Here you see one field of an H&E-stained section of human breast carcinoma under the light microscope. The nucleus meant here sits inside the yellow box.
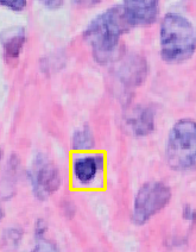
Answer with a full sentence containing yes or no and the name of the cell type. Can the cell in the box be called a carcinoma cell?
No, the cell in the box is to be classified as a lymphocyte rather than a carcinoma cell.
